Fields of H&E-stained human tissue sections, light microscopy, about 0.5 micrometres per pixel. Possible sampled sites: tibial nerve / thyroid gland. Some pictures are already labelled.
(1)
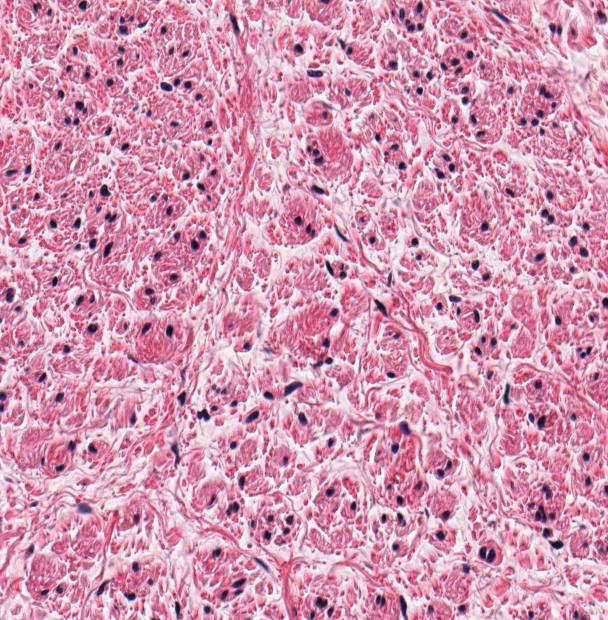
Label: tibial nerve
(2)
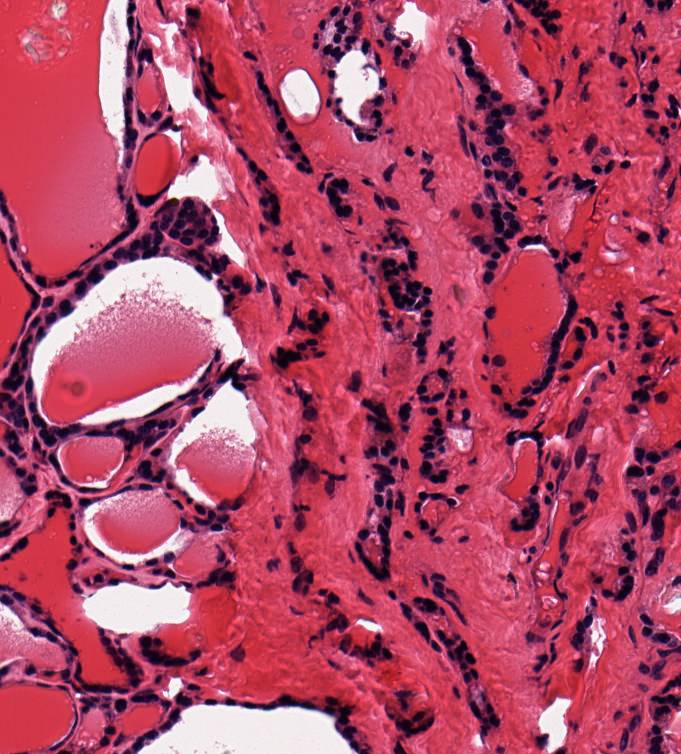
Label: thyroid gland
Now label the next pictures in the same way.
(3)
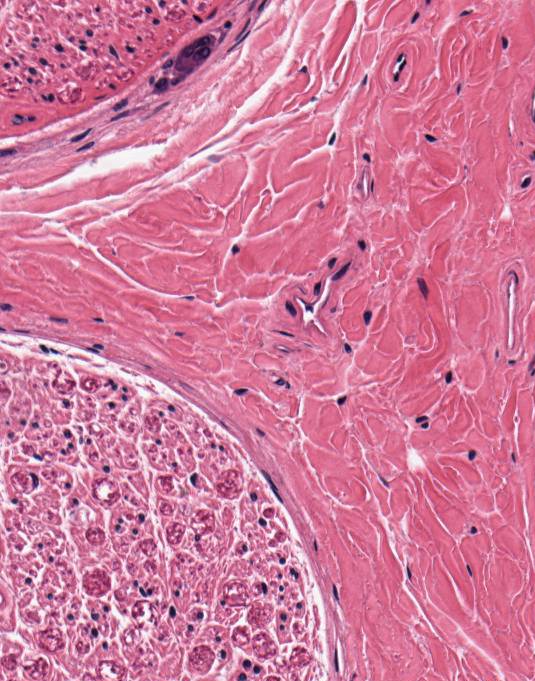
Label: tibial nerve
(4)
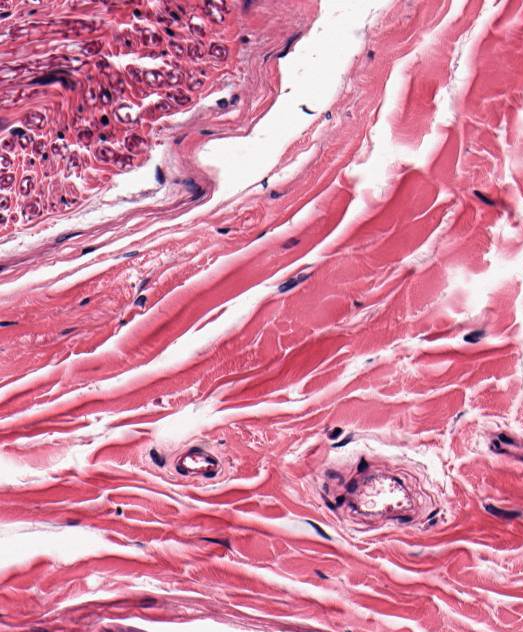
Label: tibial nerve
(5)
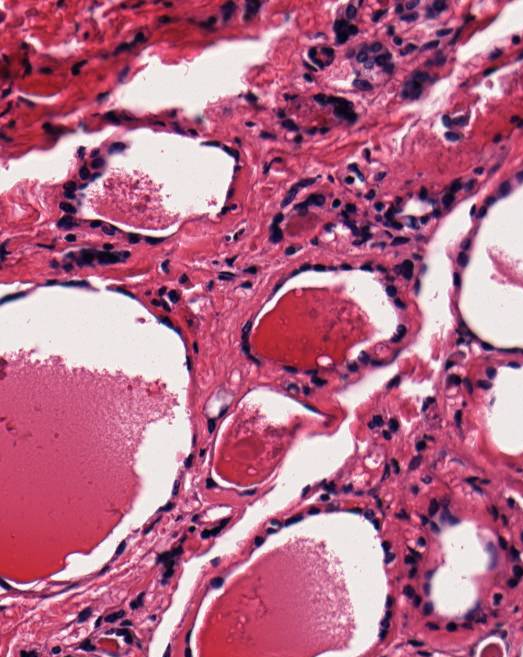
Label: thyroid gland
